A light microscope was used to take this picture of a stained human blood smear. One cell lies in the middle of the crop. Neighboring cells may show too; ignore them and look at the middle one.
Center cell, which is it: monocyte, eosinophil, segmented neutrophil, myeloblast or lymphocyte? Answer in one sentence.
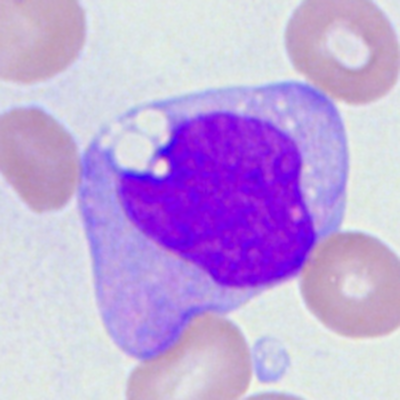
The crop shows a monocyte in its centre.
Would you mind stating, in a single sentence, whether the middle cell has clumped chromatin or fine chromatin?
Answer: the chromatin is fine and has no coarse clumps.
